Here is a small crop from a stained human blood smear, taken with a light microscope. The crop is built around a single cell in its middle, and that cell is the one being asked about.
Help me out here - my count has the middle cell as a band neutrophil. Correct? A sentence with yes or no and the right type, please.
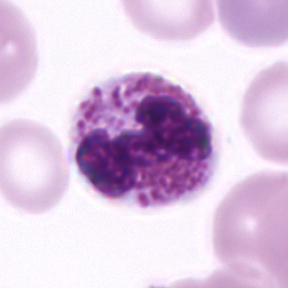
No, the central cell in this crop is an eosinophil and not a band neutrophil.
